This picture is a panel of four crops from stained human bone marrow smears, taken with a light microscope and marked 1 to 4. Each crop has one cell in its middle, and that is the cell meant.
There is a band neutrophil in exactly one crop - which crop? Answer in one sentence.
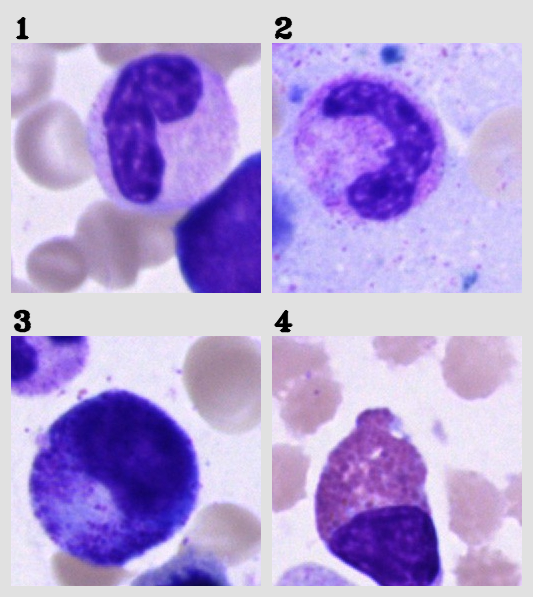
Of the crops given, a band neutrophil is found in crop 1.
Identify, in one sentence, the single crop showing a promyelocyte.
In this series, a promyelocyte is shown by crop 3.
